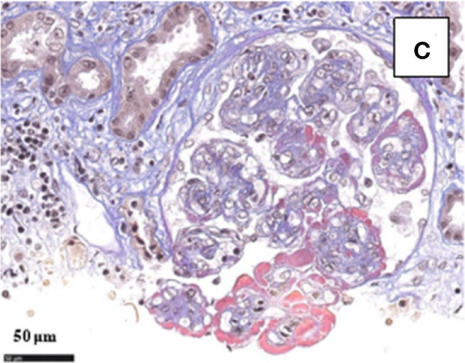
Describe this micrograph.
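This is a glomerulus with a lobulated capillary tuft in which bright pink-red material lines the capillary loops, most prominently along the lower edge of the tuft. The tuft lobules are filled with blue-staining matrix and loop walls, with many dark nuclei, and the capillary lumens are narrowed. The red deposits follow the curved contours of the loop walls. Bowman's space surrounds the tuft, bounded by a blue capsule. Outside lie tubules with brownish-grey cytoplasm and dark nuclei, blue-stained interstitium, and a cluster of small dark nuclei at the left edge.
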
